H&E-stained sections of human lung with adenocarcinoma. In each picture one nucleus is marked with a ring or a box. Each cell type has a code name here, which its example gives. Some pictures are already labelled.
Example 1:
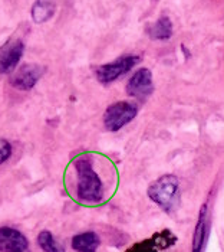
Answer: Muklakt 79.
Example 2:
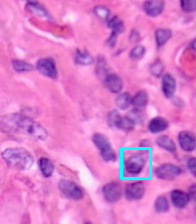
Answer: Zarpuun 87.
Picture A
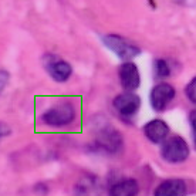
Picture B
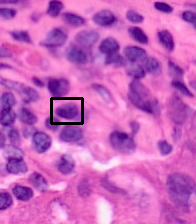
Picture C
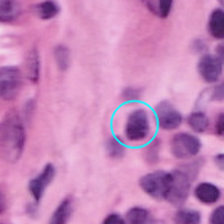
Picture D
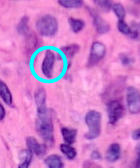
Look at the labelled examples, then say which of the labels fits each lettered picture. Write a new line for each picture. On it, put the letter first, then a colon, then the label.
A: Muklakt 79.
B: Zarpuun 87.
C: Zarpuun 87.
D: Zarpuun 87.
